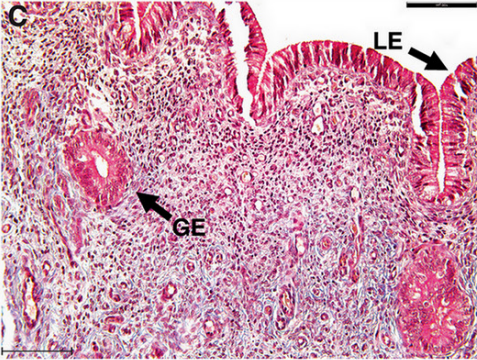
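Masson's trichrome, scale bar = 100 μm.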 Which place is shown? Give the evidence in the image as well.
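Densely cellular stroma lies right beneath a columnar surface epithelium. The surface epithelium lines an open space at the top.
Conclusion: stratum compactum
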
